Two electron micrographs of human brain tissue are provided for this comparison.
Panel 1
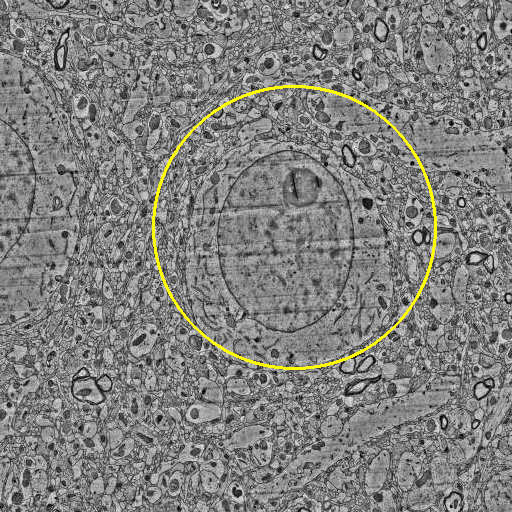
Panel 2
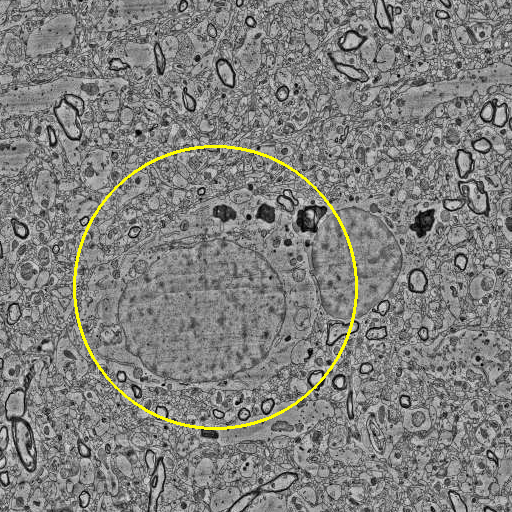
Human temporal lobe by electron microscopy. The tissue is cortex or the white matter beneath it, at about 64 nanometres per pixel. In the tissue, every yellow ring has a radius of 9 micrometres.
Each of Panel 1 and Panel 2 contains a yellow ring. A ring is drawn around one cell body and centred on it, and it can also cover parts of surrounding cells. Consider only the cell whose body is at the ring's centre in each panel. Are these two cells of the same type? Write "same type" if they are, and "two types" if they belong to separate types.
two types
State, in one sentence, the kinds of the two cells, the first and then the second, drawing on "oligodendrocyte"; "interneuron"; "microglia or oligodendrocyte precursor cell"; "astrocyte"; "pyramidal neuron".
The ring in the second picture is centred on an interneuron, the ring in the first on a pyramidal neuron.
